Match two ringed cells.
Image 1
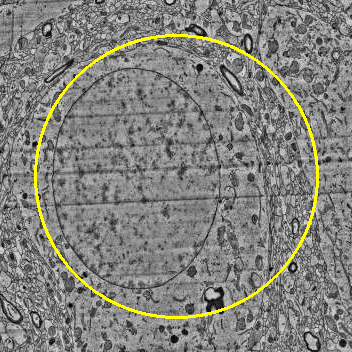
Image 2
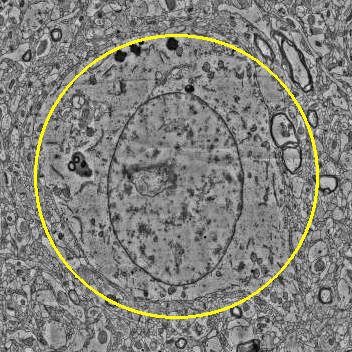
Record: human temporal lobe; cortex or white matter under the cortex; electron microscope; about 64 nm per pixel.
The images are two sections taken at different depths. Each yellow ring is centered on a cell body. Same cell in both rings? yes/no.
no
